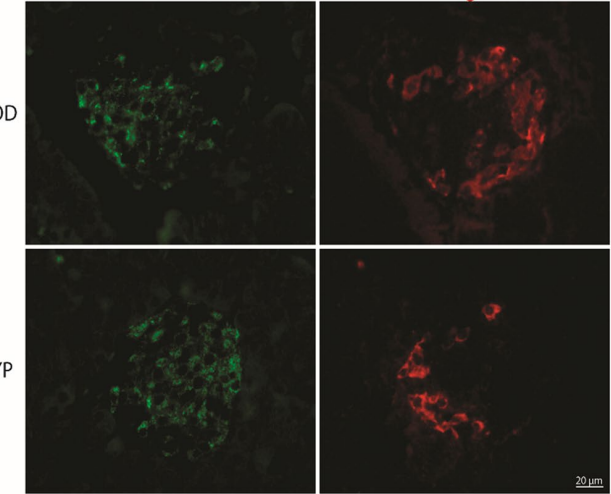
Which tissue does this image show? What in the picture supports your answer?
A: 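Compact, roughly round clusters of cells set apart from the surrounding dark tissue. Many cells within each cluster carry green cytoplasmic signal.
Answer: pancreatic islets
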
